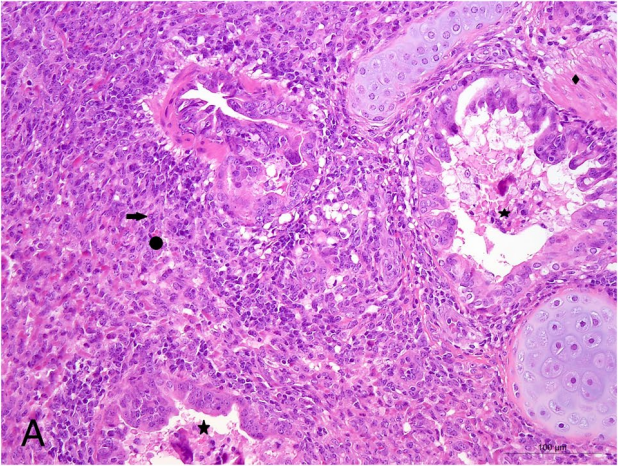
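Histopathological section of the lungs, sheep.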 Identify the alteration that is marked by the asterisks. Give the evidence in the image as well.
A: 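Loose cells and debris lie free within airway lumens. The lumens are lined by columnar epithelium from which material has come away.
Hence: bronchial epithelial cells abscission.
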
